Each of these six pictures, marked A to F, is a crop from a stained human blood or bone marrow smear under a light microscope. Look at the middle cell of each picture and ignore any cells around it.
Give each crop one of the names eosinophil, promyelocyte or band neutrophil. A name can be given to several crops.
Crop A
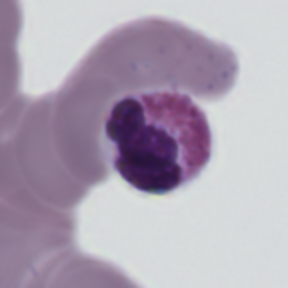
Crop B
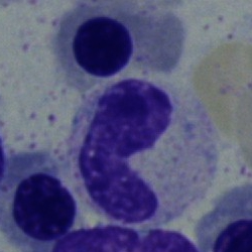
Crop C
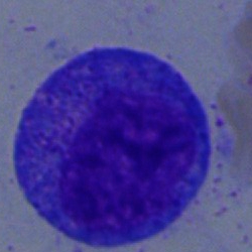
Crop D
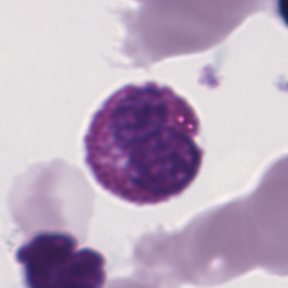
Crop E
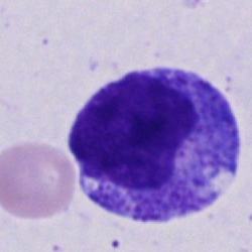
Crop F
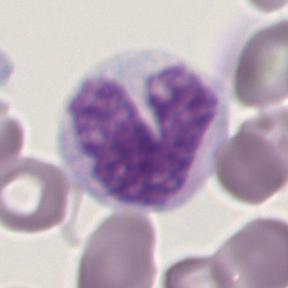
A: eosinophil
B: band neutrophil
C: promyelocyte
D: eosinophil
E: promyelocyte
F: band neutrophil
